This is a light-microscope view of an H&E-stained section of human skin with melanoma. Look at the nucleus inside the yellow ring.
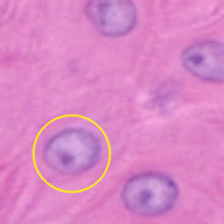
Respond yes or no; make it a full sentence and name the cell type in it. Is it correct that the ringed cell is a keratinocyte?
Yes, the ringed cell is identified as a keratinocyte in this section.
